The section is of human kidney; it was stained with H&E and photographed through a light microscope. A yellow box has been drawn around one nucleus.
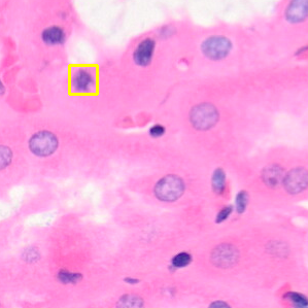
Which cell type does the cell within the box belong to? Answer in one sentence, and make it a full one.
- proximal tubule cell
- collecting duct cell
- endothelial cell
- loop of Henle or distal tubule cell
As for its identity, the cell within the box is a loop of Henle or distal tubule cell.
